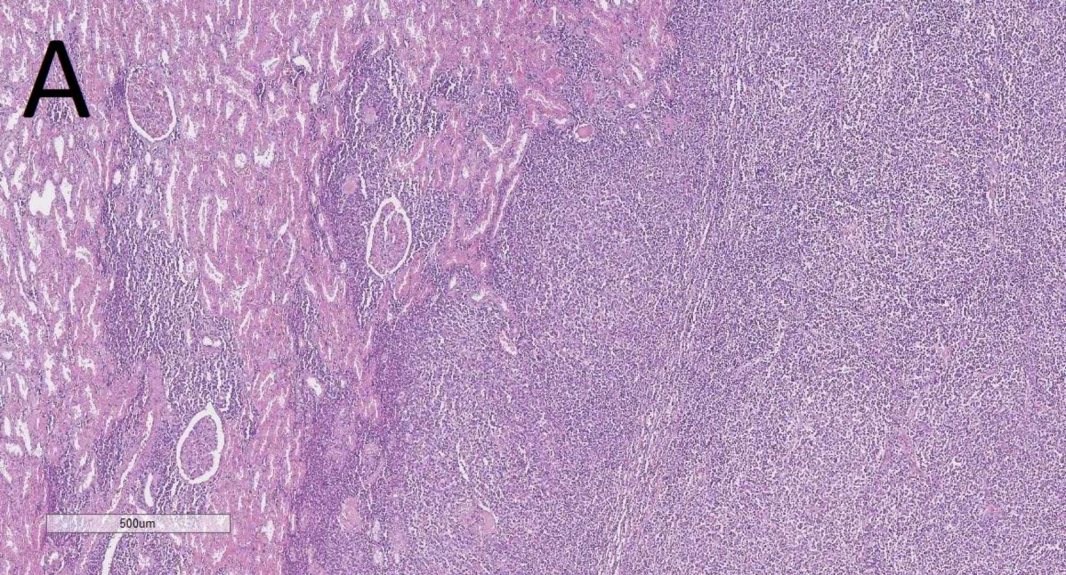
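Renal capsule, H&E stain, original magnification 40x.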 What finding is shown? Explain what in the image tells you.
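Renal tubules with pink cytoplasm occupy the left part of the field. A dense sheet of small dark blue cells fills the right part. Bands of the dark blue cells extend between the tubules on the left. On this evidence: infiltration into the parenchyma.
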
